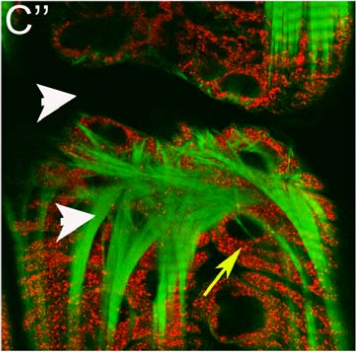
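A dark gap separates an upper muscle from the lower one, whose ends appear curled and pulled away. Round dark nuclei are ringed by red puncta.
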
